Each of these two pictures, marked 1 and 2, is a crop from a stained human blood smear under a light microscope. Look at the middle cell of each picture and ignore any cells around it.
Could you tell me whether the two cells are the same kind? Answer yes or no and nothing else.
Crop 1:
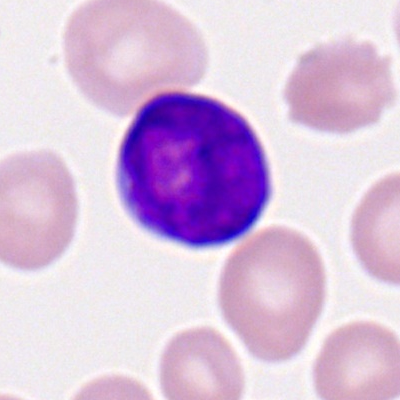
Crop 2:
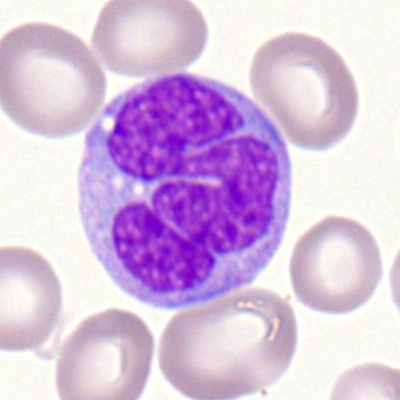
no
